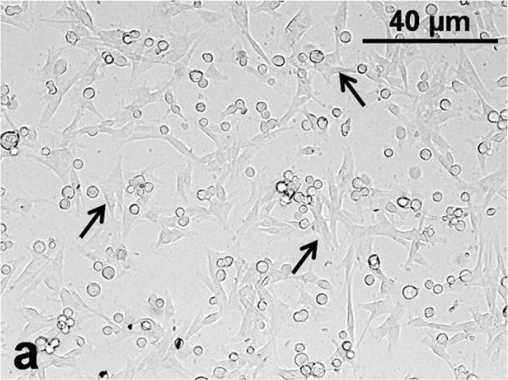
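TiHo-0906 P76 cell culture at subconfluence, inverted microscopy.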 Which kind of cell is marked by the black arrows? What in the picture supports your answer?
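Bipolar to multipolar shaped cells. The arrowed cells are flat and elongated, with two or more tapering extensions. These spread cells lie among many small round refractile cells.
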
